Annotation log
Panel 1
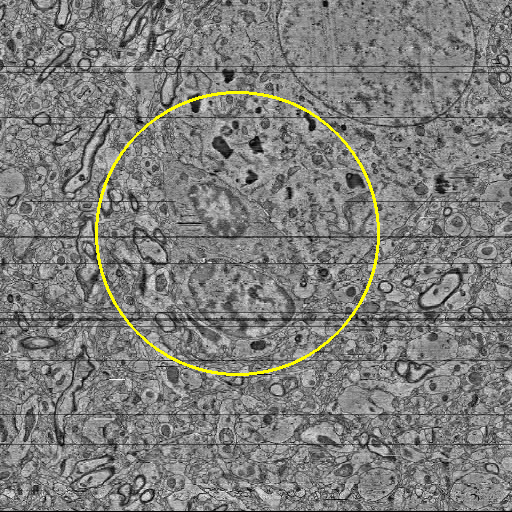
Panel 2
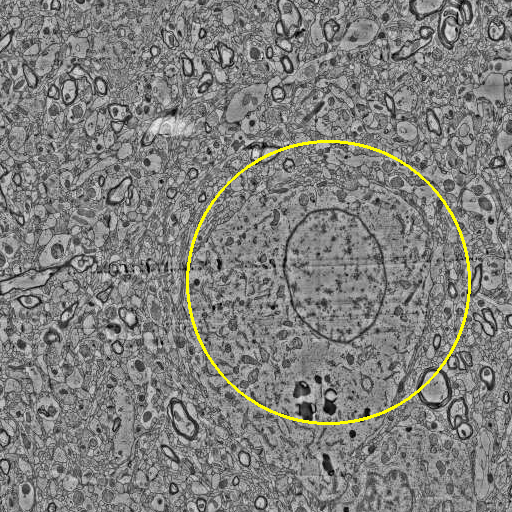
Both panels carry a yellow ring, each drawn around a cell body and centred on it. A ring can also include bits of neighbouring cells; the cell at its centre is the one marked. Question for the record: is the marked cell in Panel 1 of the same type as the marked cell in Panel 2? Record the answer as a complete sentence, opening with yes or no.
No, the marked cells in Panel 1 and Panel 2 are of two types.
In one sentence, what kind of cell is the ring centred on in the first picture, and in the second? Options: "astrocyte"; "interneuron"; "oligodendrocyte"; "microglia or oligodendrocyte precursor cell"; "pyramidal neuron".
The cell at the centre of the second ring is a pyramidal neuron; the first ring's cell is an oligodendrocyte.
